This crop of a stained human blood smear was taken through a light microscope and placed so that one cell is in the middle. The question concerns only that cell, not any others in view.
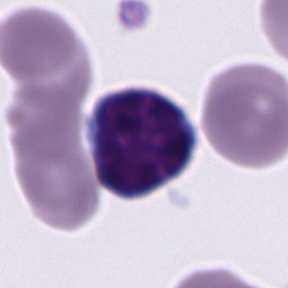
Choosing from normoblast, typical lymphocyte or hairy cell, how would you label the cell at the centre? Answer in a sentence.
The cell at the middle of the frame should be recorded as a typical lymphocyte.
